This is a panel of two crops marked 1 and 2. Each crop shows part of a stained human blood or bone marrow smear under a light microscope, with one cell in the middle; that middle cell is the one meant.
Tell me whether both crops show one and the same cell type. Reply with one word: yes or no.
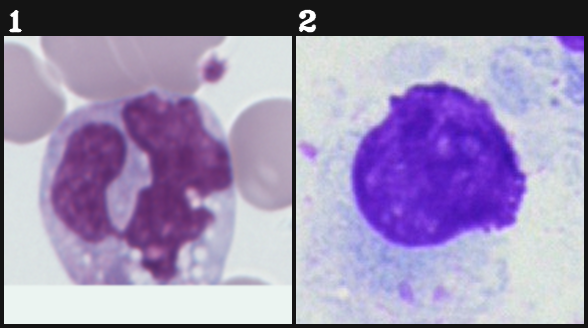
no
